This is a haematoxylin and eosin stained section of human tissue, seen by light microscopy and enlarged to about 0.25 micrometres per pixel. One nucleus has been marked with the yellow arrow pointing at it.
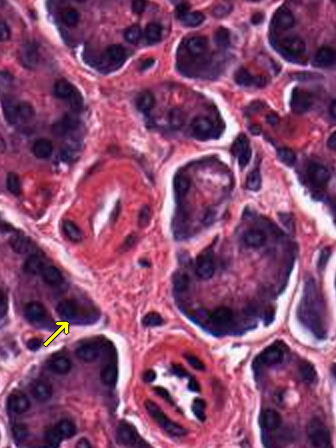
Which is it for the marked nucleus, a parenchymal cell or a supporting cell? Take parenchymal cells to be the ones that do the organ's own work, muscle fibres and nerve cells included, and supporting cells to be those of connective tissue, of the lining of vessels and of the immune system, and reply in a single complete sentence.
The marked nucleus is carried by a parenchymal cell, namely a pancreatic acinar cell.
